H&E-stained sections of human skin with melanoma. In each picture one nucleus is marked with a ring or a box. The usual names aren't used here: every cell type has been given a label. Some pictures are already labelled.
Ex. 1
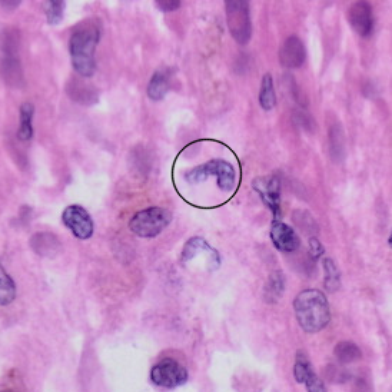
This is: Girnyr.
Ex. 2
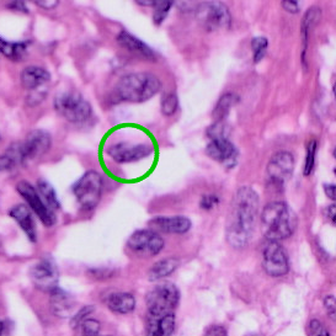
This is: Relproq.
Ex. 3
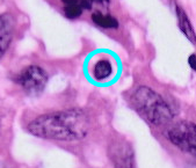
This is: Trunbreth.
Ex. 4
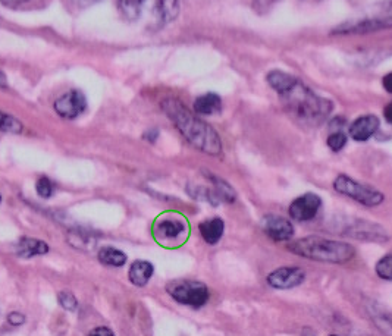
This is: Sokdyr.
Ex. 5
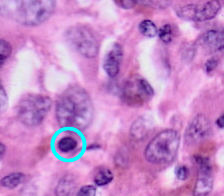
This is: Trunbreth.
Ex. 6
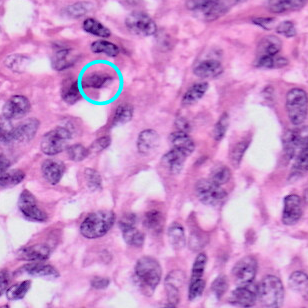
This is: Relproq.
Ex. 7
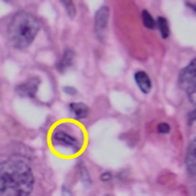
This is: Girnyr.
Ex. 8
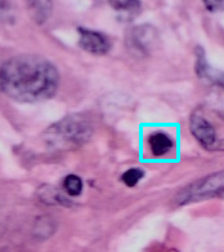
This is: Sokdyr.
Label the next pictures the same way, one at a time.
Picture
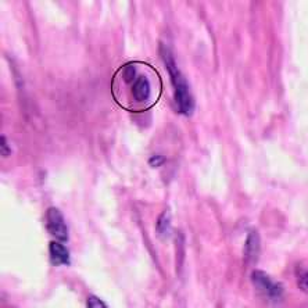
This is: Sokdyr.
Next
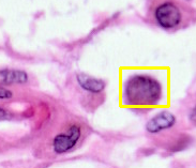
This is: Girnyr.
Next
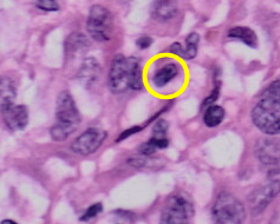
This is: Trunbreth.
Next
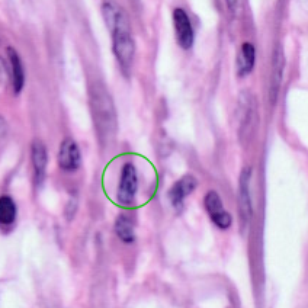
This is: Sokdyr.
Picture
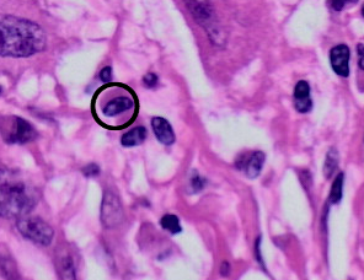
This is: Sokdyr.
